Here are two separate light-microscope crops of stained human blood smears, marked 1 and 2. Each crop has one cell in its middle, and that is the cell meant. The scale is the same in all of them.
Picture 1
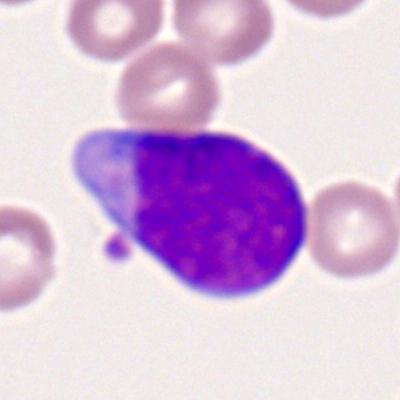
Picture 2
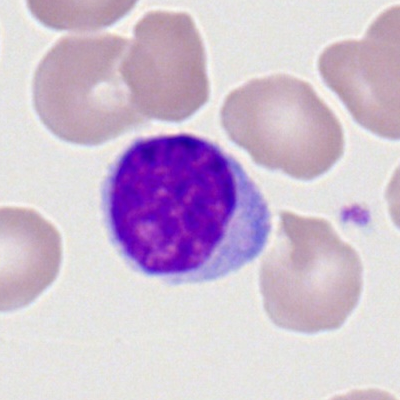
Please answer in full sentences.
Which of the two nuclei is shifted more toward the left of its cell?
Seen within its cell, the nucleus in picture 2 lies further toward the left.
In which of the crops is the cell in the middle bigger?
The cell in picture 1 is larger, with about 1.5 times the area of the one in picture 2.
